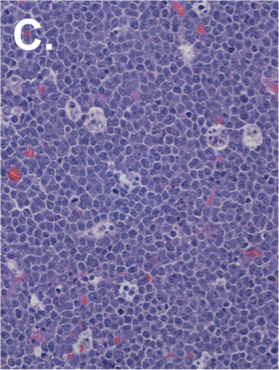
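Diffuse sheet of monotonous, round, medium-sized lymphoid cells packed closely together with no normal architecture. Nuclei are large, round and purple, with coarse chromatin, occupying most of each cell; cytoplasm is scant, and many cells show a thin clear halo from cytoplasmic retraction. Scattered evenly through the sheet are larger pale macrophages with clear cytoplasm holding dark fragments of cellular debris, giving a starry sky pattern. A few small red blood cells lie between the tumor cells.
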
